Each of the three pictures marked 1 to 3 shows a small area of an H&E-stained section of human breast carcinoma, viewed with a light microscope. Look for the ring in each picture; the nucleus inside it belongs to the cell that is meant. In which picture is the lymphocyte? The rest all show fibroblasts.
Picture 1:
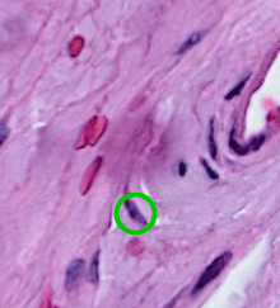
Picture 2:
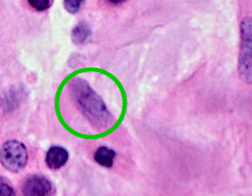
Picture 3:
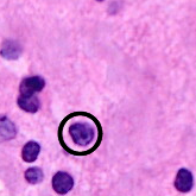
3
